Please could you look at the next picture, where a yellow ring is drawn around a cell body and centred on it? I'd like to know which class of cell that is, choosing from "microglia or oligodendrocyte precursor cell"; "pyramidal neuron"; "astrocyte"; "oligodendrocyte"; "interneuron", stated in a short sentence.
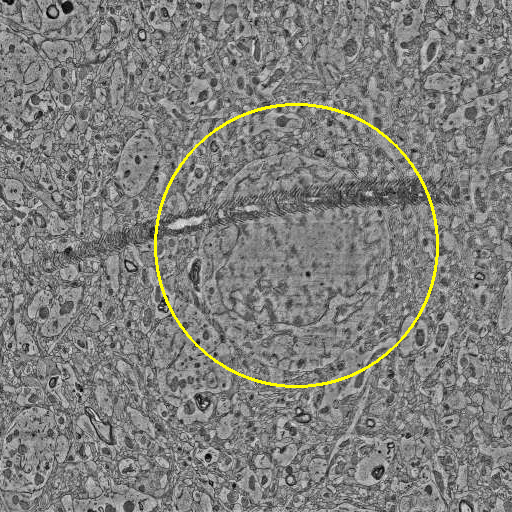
The ring's centre lies on an interneuron.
